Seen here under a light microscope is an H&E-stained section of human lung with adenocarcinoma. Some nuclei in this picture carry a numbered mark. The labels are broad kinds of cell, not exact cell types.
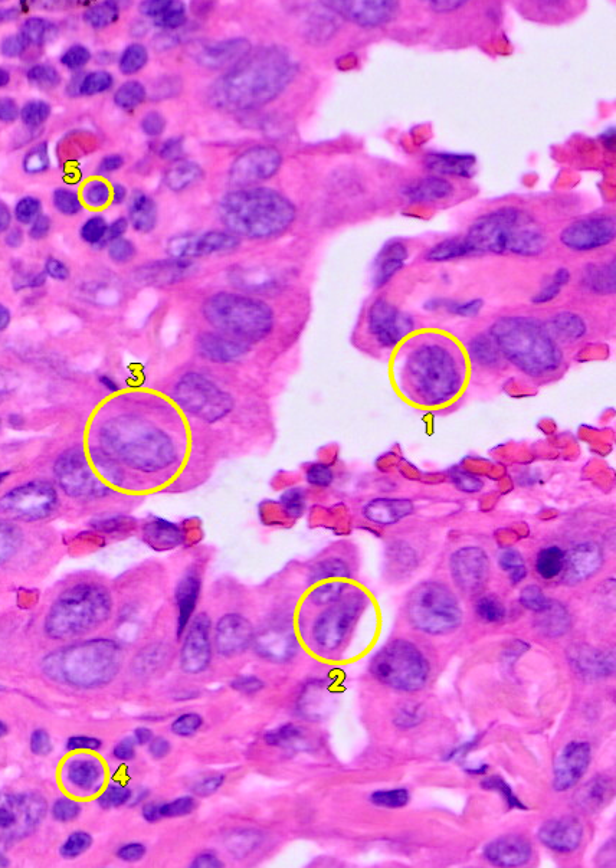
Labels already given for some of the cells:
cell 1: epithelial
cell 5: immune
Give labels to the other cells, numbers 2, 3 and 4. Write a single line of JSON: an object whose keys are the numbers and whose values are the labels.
{"2": "epithelial", "3": "epithelial", "4": "immune"}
